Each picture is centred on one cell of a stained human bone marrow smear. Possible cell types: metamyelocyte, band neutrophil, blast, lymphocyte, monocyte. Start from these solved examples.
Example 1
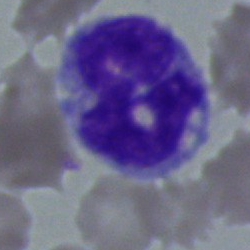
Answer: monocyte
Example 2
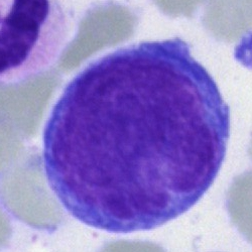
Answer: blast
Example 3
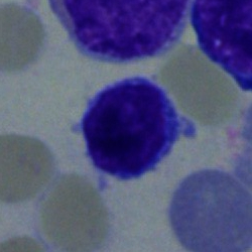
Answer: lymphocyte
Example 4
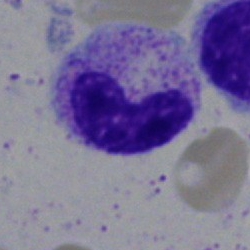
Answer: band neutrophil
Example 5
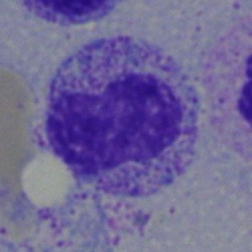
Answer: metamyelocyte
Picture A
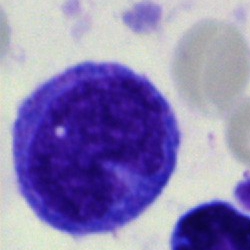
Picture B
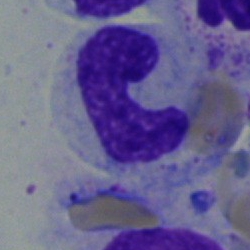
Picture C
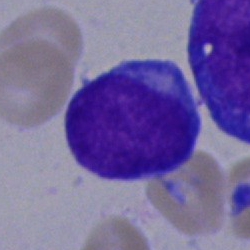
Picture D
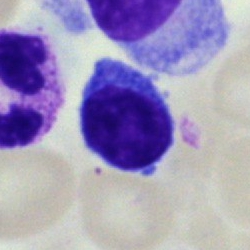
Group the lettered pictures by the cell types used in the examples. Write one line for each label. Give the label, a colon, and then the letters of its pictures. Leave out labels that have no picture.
band neutrophil: B
blast: C
lymphocyte: D
monocyte: A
